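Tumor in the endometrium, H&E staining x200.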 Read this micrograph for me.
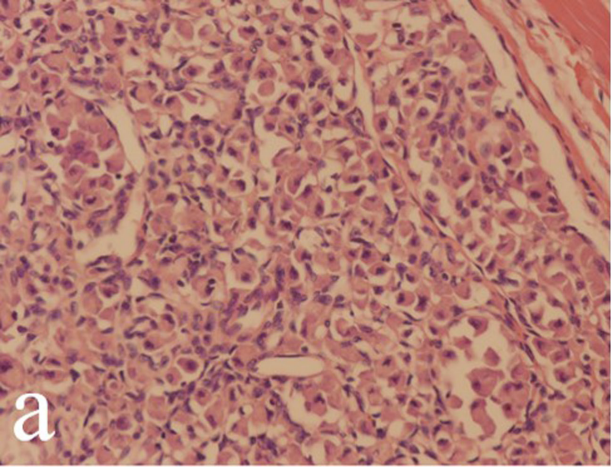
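A tumour made of neoplastic cells arranged in solid nests, separated by thin fibrovascular septa. The cells are polygonal, with ample pink cytoplasm and round to oval dark purple nuclei, some showing visible nucleoli. They lie closely packed within each nest. Between the nests run delicate pink strands holding slender, elongated vascular spaces. Some nests contain small clear gaps where cells have separated. Along the upper right edge lies a band of denser, streaming pink fibrous tissue that borders the tumour.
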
